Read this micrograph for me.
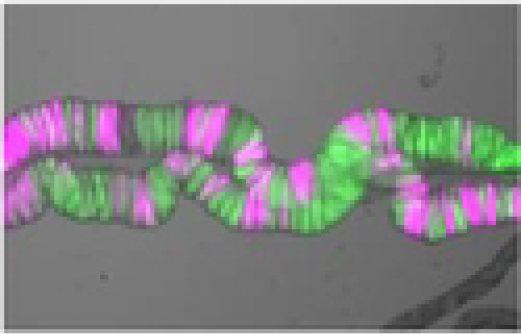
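A winding tube is bordered on both sides by many narrow crypts lying side by side like the teeth of a comb. The crypts are filled with green or magenta fluorescence, and the two colours alternate in separate groups of neighbouring crypts along the length.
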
